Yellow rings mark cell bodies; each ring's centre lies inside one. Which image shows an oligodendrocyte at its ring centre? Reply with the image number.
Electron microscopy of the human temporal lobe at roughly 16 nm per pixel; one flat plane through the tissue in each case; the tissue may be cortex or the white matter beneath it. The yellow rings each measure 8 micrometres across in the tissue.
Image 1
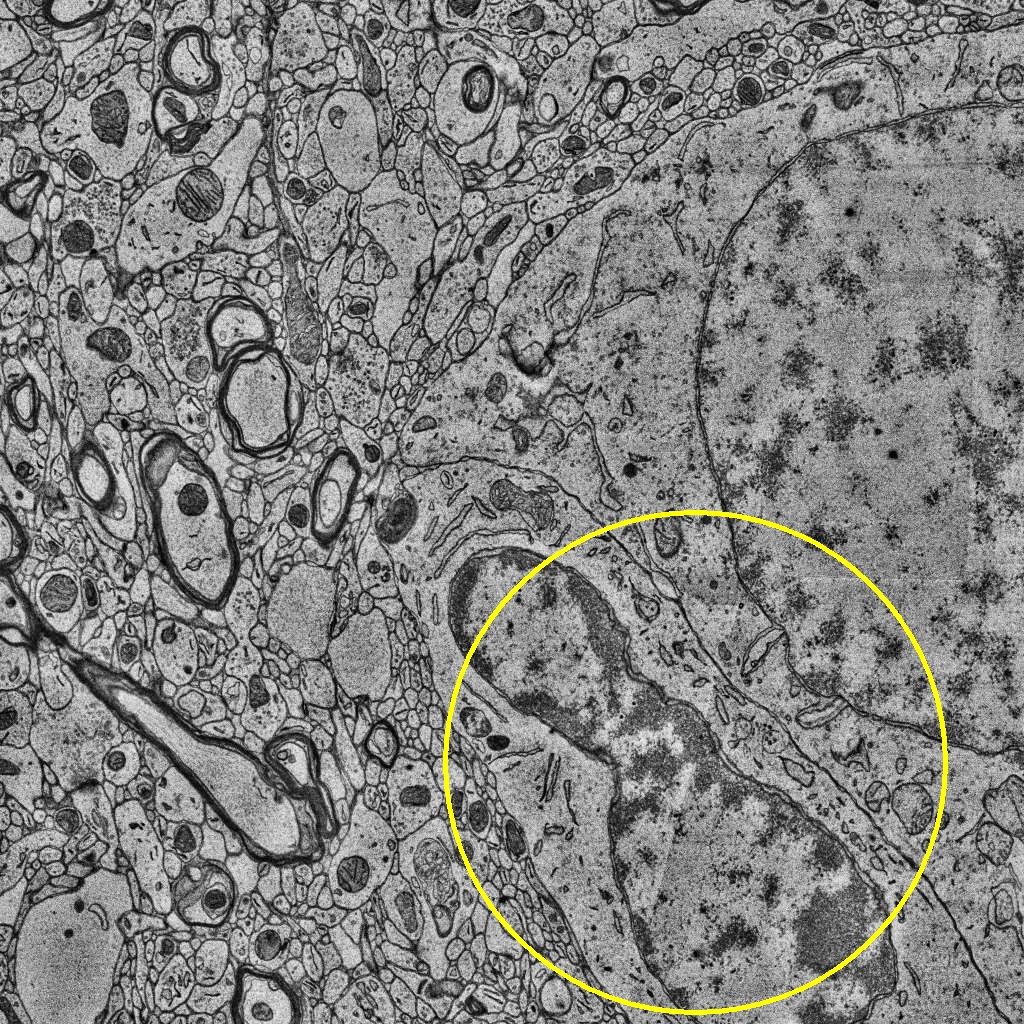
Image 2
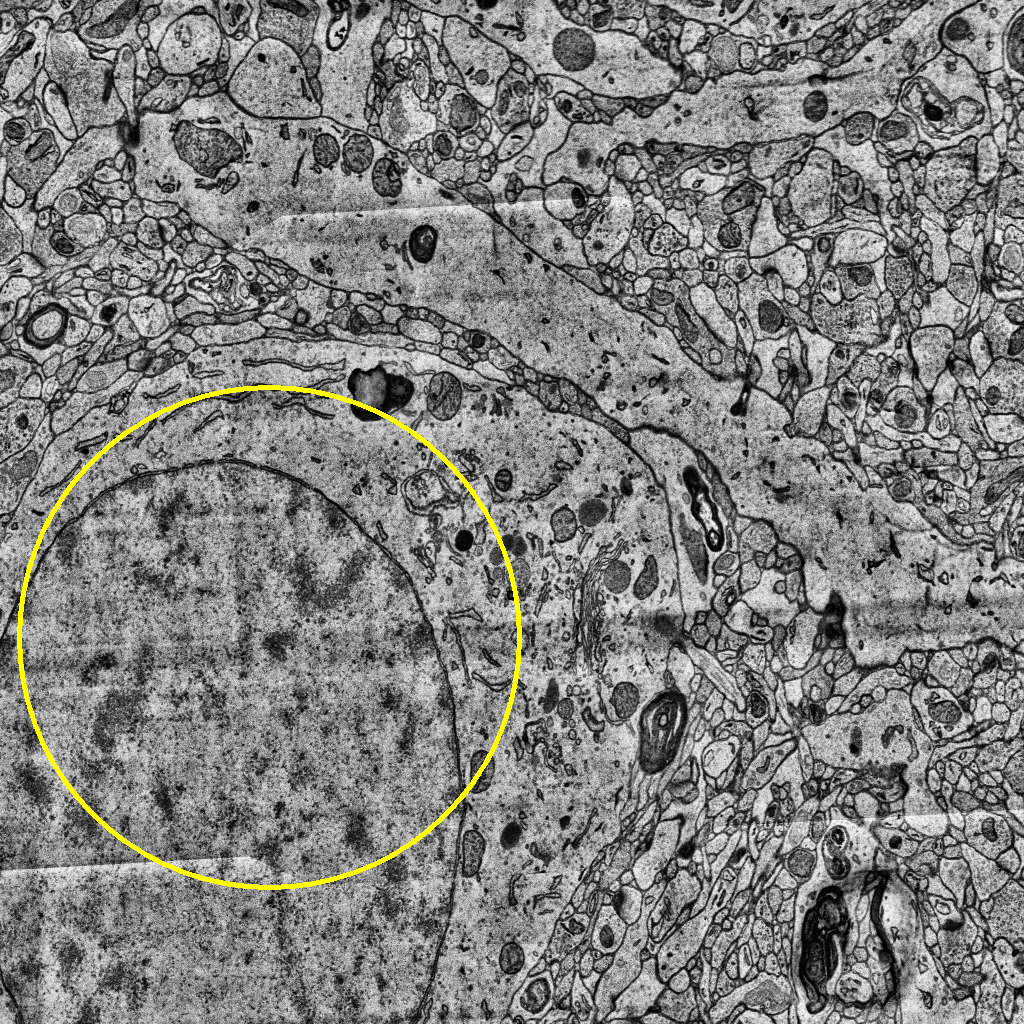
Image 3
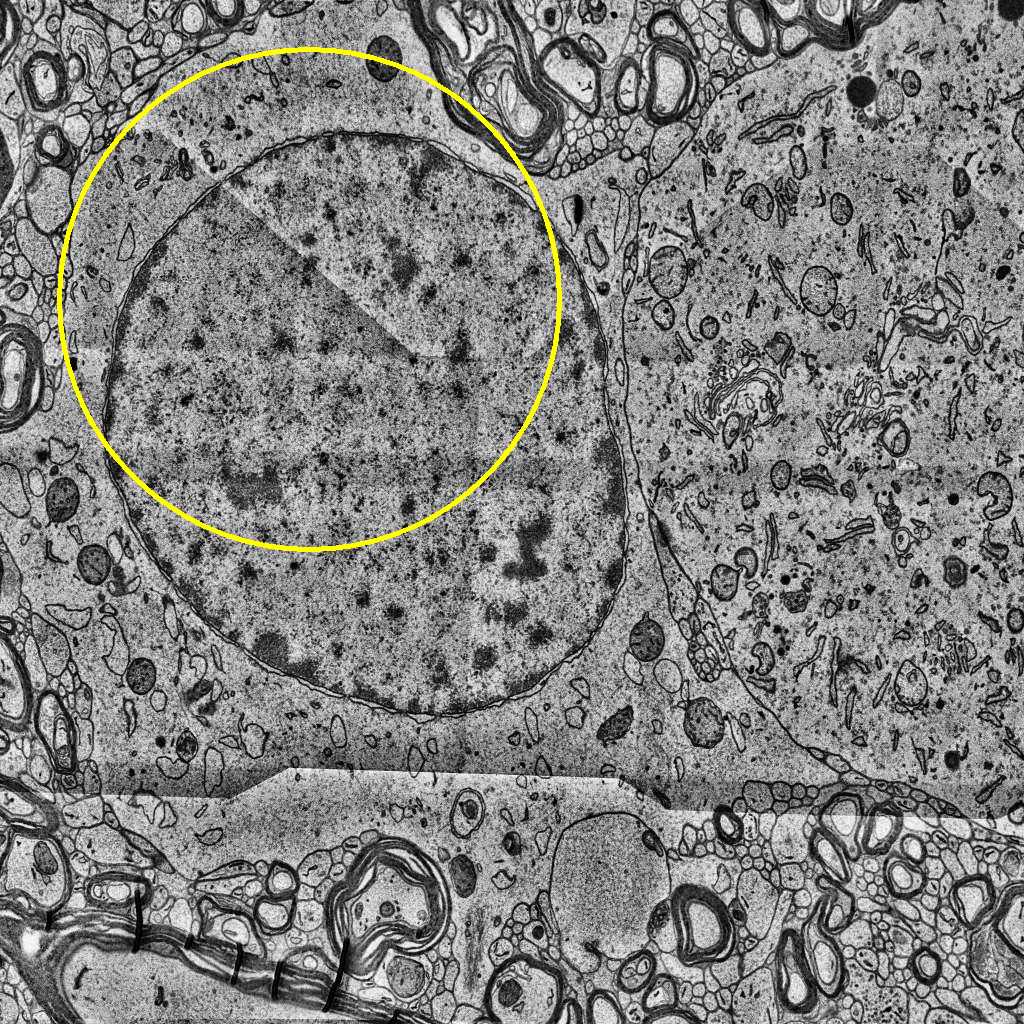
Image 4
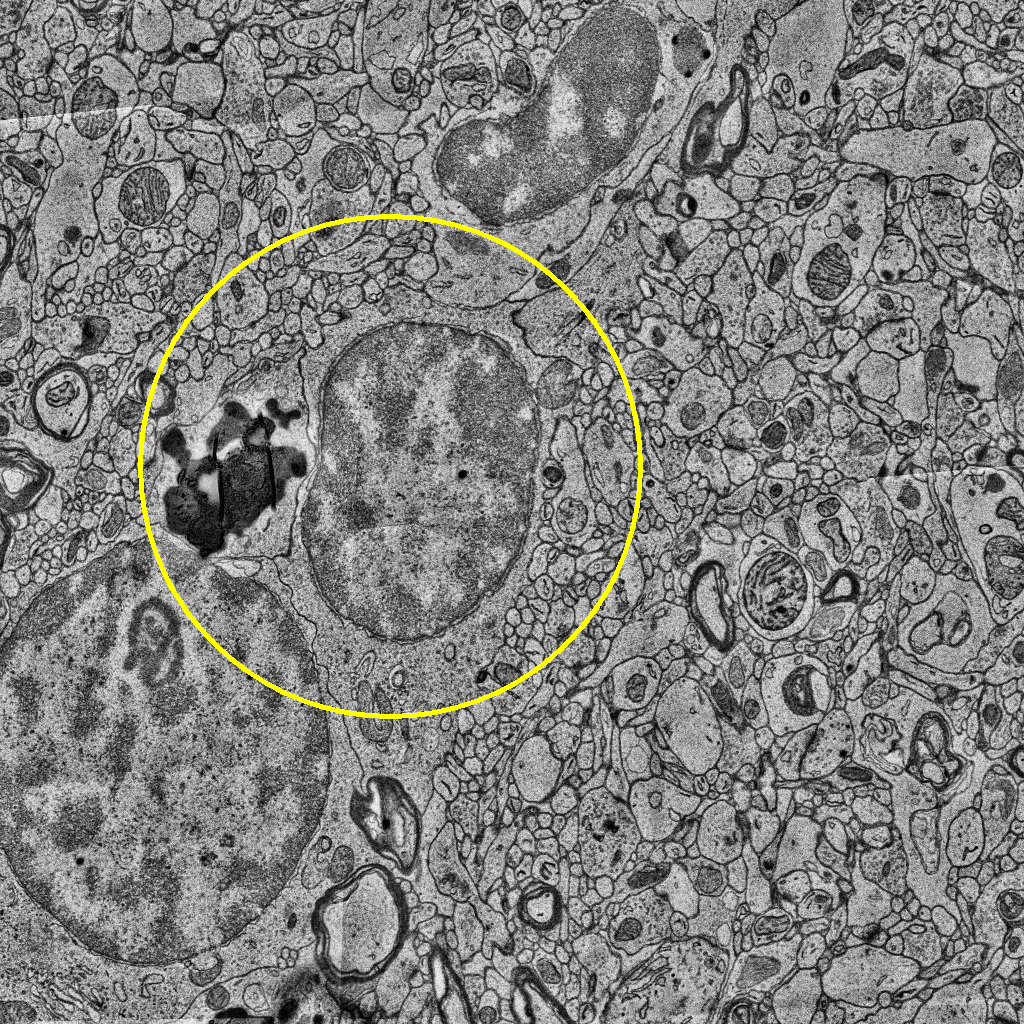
4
